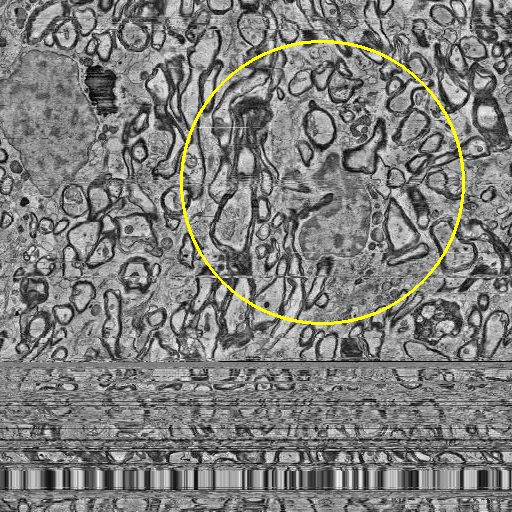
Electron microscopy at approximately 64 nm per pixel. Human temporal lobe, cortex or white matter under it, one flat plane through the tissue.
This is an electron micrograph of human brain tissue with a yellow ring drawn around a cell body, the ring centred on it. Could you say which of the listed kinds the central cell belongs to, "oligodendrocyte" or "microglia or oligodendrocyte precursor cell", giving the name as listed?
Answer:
microglia or oligodendrocyte precursor cell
